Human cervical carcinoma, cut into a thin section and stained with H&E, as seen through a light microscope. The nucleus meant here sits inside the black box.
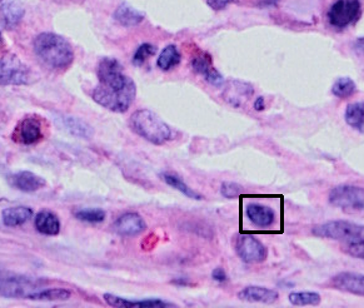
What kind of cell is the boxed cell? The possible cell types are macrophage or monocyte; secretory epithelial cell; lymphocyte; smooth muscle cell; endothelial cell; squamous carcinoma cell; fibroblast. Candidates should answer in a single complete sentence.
The category to which the boxed cell belongs is that of a lymphocyte.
